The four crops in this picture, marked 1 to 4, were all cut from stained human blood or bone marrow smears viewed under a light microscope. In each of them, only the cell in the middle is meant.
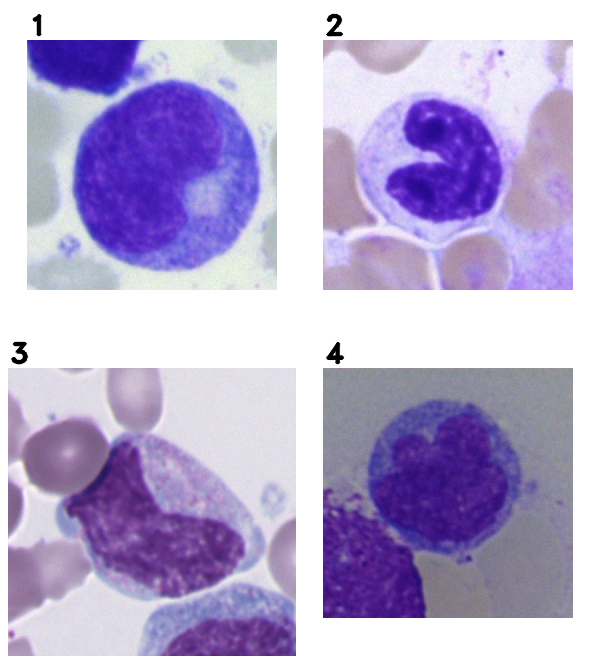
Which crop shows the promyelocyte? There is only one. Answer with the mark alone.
3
